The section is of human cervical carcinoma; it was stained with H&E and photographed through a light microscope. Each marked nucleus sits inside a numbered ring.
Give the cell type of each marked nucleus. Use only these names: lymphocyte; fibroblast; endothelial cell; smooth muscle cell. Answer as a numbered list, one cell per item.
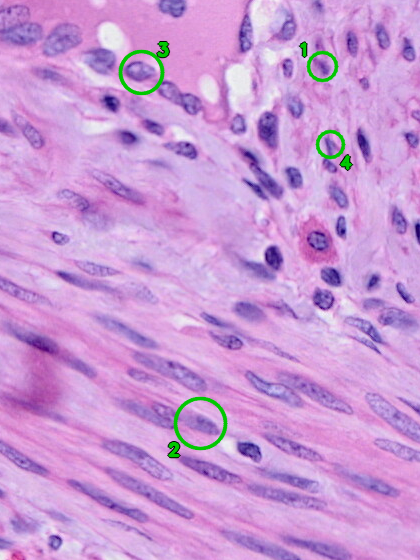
1. smooth muscle cell
2. smooth muscle cell
3. endothelial cell
4. smooth muscle cell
